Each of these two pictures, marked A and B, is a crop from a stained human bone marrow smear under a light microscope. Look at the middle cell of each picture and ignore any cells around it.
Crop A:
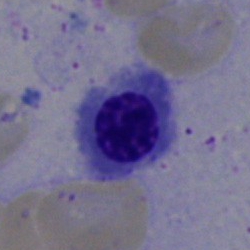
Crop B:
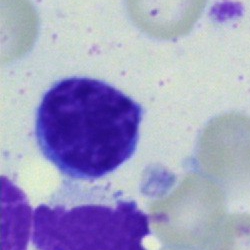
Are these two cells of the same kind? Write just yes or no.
no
